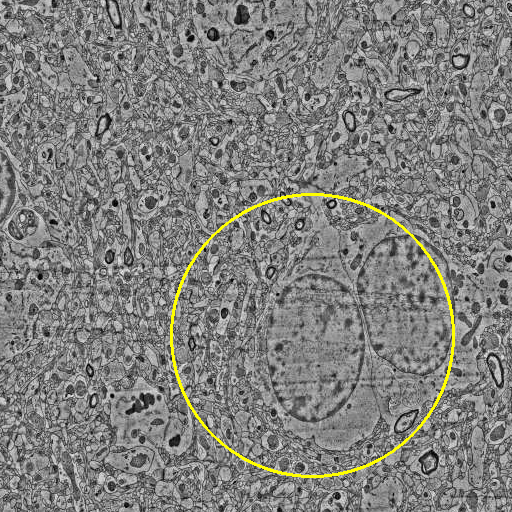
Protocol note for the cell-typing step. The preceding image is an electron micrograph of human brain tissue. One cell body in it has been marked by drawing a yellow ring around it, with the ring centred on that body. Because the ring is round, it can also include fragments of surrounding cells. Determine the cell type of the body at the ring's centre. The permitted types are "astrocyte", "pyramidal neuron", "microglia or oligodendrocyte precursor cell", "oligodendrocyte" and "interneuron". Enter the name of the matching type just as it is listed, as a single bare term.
astrocyte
